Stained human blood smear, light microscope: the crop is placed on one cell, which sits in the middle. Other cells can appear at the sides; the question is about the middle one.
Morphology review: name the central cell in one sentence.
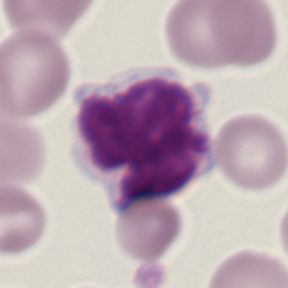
This crop's central cell is a large granular lymphocyte.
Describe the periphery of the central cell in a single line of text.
Irregular and not smooth, the cell boundary is ragged or drawn out into projections.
